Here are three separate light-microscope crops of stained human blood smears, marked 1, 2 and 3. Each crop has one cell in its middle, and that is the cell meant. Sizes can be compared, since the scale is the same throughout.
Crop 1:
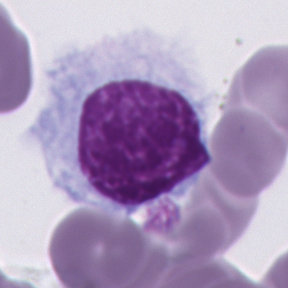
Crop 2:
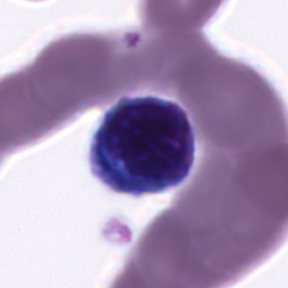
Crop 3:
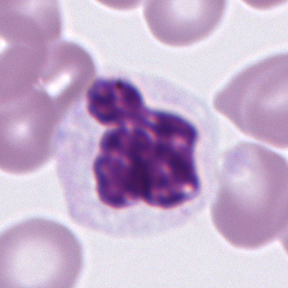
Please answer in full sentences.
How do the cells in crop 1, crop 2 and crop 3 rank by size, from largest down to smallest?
The order is 1, 3, 2, beginning with the largest.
